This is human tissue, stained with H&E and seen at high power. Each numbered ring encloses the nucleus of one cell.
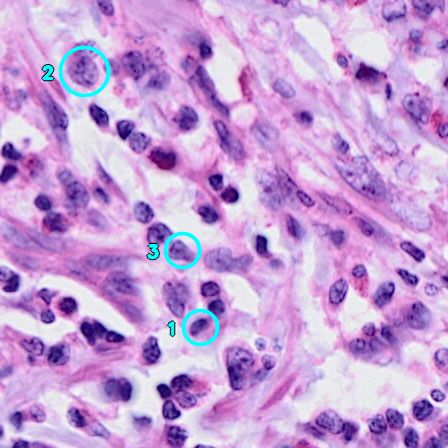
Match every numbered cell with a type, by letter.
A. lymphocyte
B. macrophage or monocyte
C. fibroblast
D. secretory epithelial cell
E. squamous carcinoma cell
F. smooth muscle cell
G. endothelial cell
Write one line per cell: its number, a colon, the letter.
1: A
2: B
3: A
